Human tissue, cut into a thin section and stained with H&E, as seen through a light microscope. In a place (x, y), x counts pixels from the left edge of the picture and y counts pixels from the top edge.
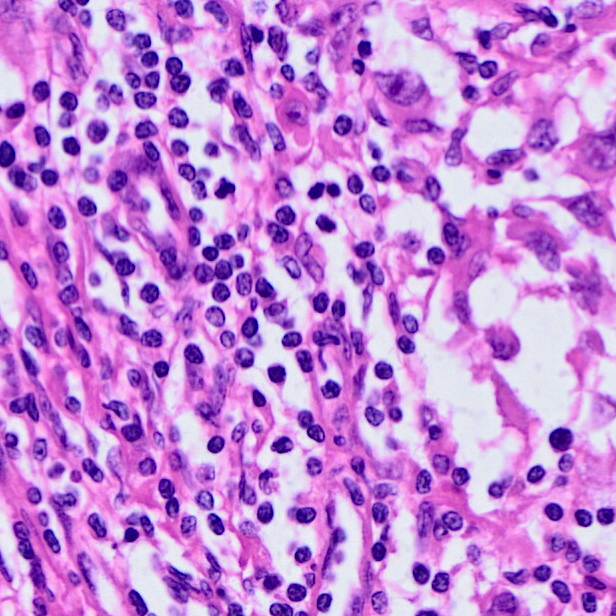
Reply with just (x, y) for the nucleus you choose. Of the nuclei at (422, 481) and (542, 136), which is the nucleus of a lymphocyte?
(422, 481)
